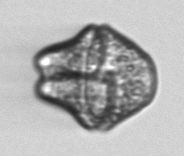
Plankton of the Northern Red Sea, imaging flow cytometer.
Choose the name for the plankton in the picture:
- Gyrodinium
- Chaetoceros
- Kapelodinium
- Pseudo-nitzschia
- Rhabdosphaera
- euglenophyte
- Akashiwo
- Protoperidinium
Akashiwo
